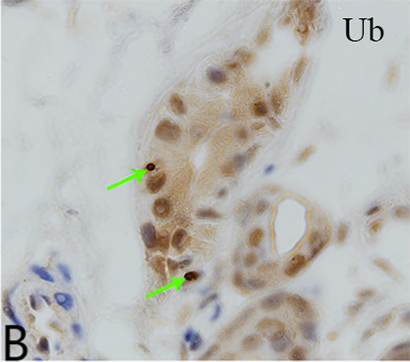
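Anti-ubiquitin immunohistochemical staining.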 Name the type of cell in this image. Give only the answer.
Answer: sweat gland cells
